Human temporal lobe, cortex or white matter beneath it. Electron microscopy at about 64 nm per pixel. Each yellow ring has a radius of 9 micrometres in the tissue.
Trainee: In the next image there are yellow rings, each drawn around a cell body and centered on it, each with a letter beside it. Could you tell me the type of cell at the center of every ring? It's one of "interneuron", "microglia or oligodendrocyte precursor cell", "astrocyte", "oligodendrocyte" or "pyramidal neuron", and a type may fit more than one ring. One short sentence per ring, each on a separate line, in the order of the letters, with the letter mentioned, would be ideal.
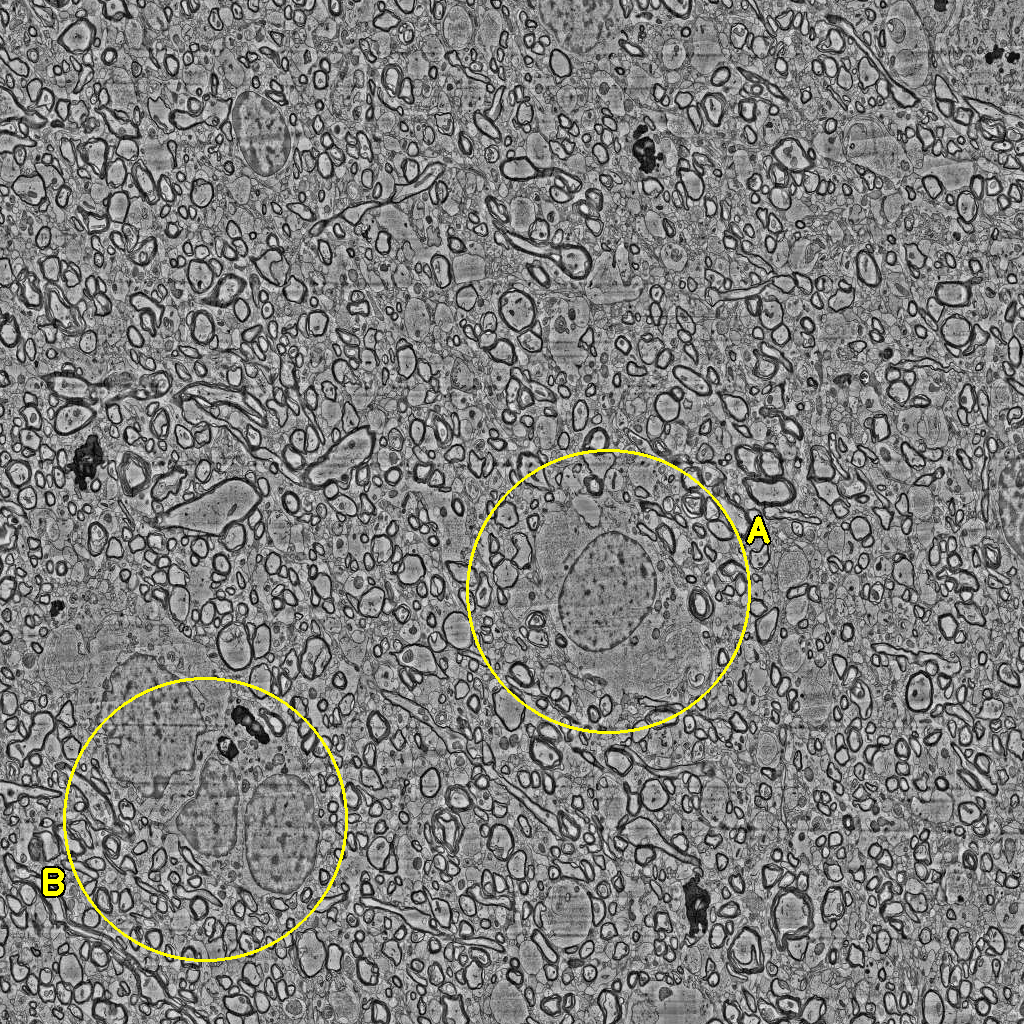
What ring A is centered on is an astrocyte.
What ring B is centered on is an oligodendrocyte.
